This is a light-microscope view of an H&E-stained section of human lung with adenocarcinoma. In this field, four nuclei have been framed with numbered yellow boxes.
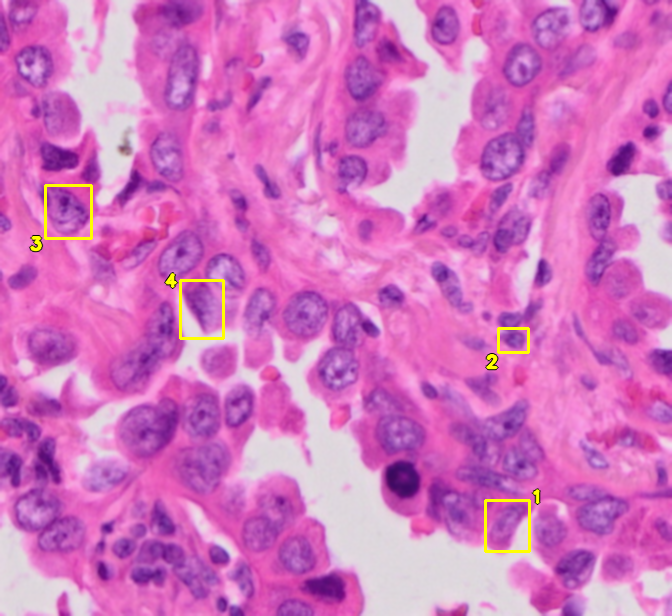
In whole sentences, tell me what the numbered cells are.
Cells 1, 3 and 4 are carcinoma cells. Cell 2 is a lymphocyte.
